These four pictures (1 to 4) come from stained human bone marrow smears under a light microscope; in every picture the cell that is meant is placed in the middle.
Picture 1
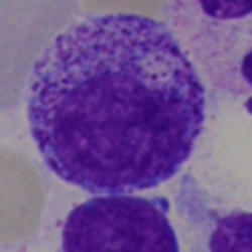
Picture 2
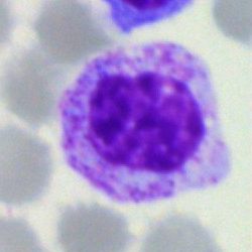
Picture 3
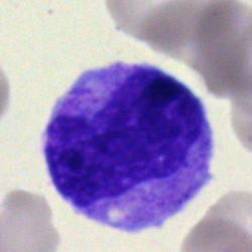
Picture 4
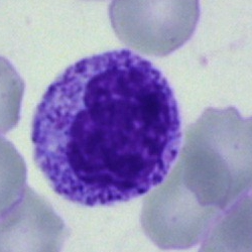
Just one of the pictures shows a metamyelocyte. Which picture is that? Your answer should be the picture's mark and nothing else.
3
